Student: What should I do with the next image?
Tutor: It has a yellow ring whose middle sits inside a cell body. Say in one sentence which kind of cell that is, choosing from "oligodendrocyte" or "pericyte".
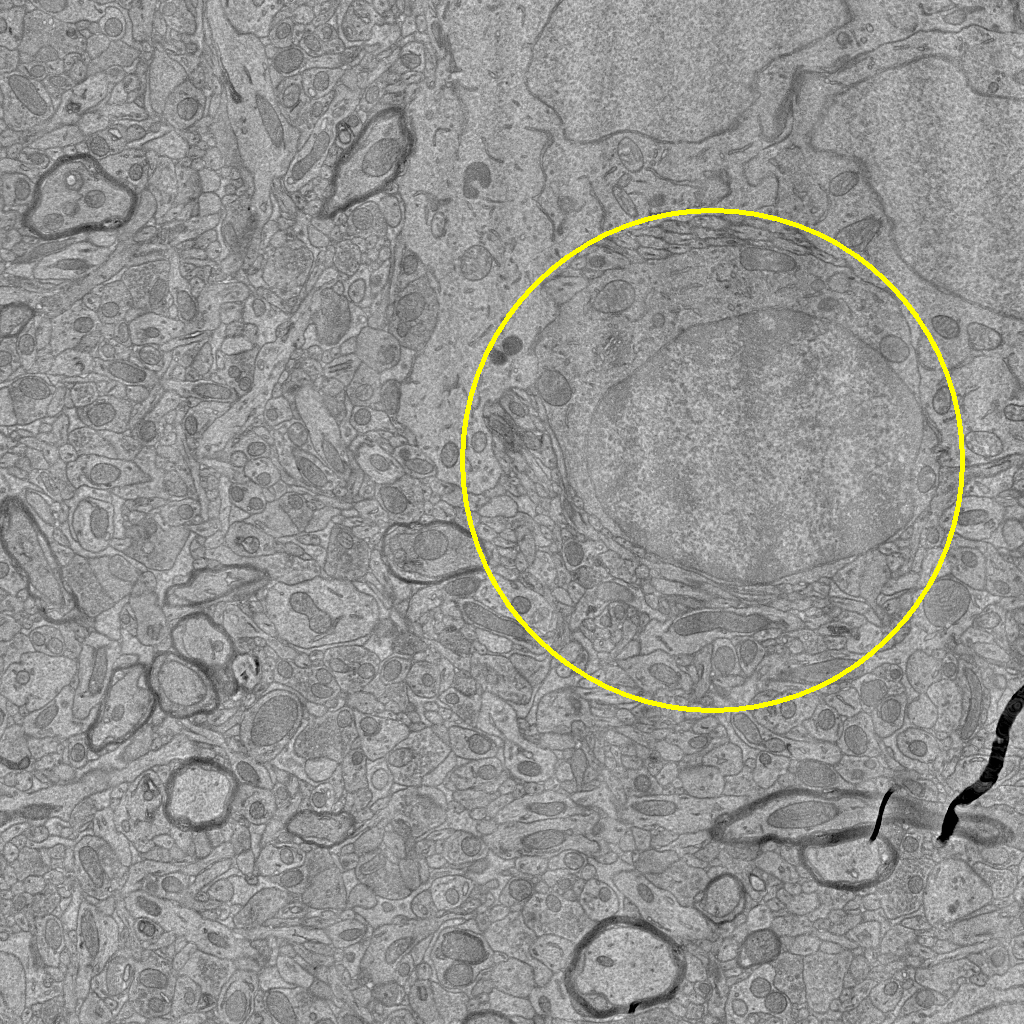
The ring's centre is occupied by an oligodendrocyte.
